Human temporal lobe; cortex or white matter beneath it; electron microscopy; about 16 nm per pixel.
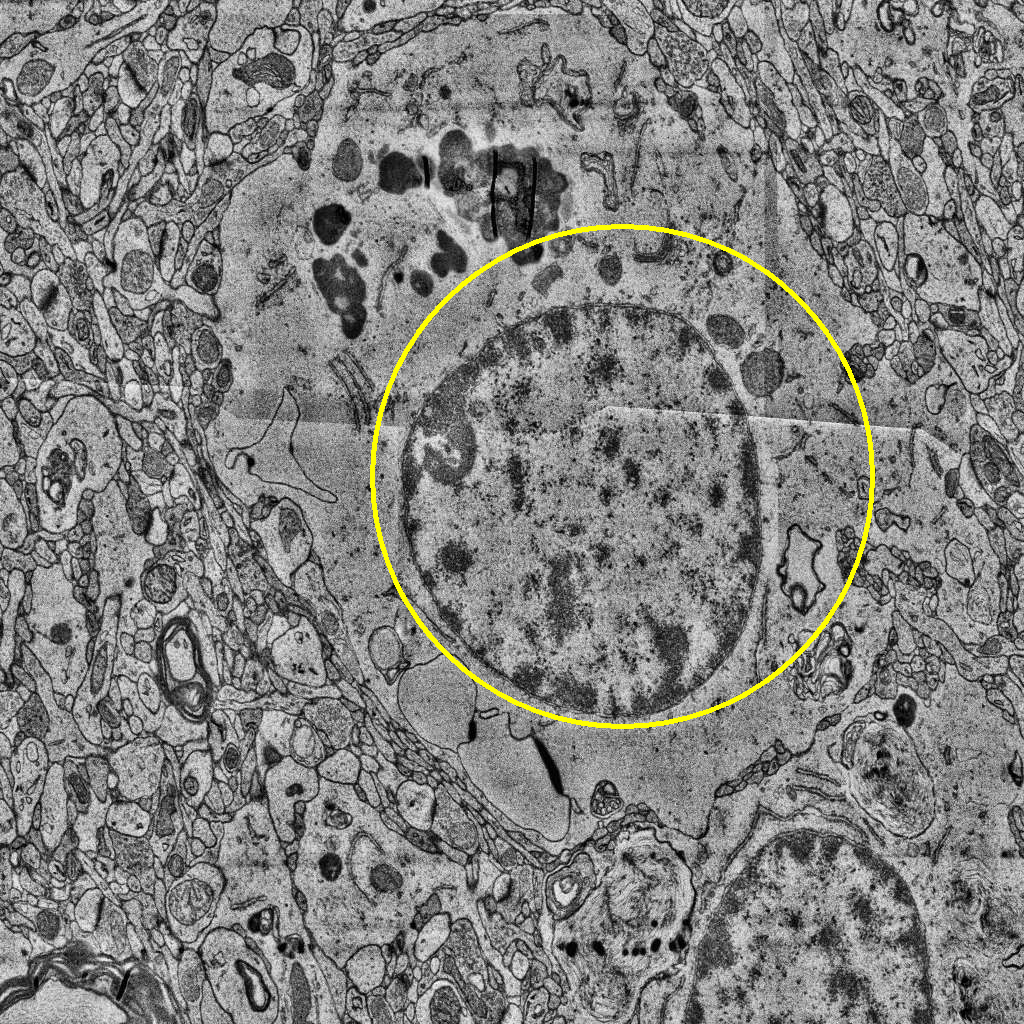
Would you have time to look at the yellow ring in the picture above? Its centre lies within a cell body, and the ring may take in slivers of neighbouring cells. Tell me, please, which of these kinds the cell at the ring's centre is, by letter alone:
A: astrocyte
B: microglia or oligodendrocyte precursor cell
A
